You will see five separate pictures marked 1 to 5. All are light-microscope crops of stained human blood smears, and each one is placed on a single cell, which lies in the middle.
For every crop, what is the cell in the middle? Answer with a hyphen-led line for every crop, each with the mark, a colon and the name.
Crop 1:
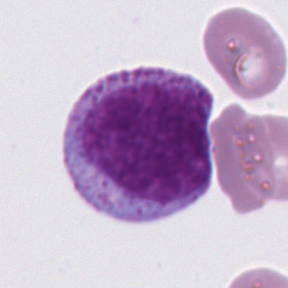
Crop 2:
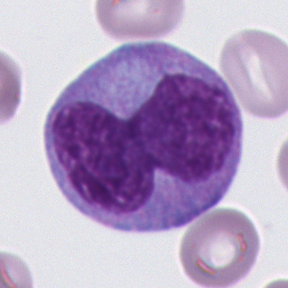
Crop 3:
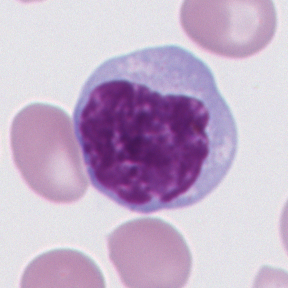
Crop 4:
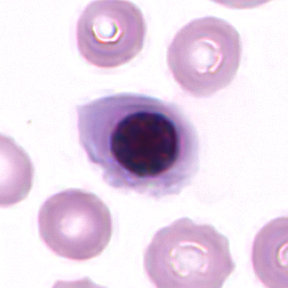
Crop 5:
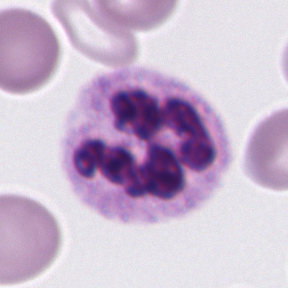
- 1: myelocyte
- 2: atypical promyelocyte
- 3: large granular lymphocyte
- 4: erythroblast
- 5: segmented neutrophil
